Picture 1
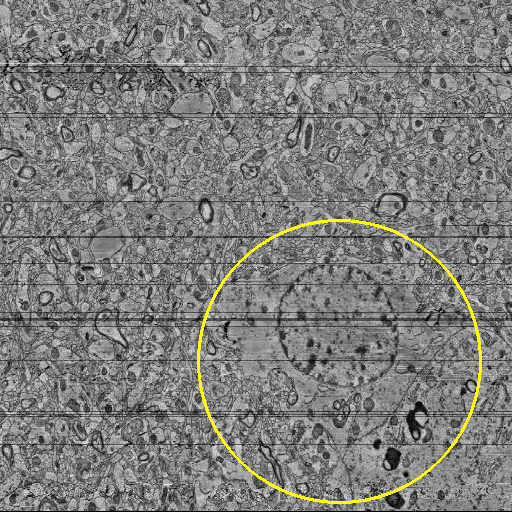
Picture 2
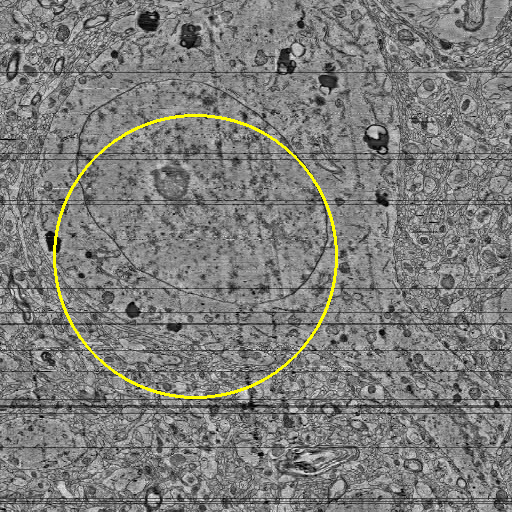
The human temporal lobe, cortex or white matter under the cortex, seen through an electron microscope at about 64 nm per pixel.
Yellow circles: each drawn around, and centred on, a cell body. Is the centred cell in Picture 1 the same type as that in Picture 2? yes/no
no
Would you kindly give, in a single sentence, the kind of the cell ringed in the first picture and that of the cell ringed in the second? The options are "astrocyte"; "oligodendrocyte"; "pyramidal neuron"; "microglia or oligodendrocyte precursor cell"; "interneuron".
The second cell is a pyramidal neuron, and the first cell is an astrocyte.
